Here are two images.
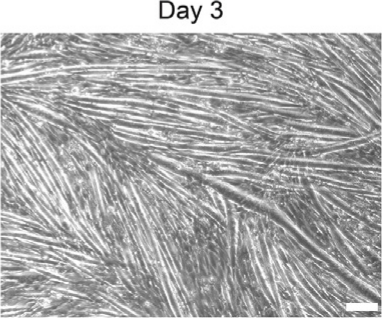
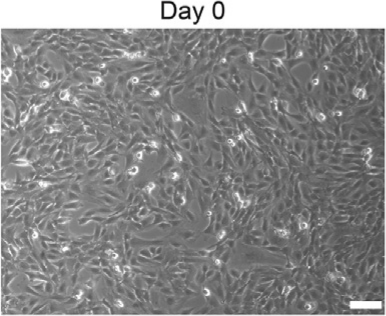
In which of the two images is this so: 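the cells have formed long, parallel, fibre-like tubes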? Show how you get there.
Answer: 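Second image: short, flat, polygonal to spindle-shaped single cells in a dense sheet. First image: very long, thin cells aligned in parallel bundles across the field.
The first image.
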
